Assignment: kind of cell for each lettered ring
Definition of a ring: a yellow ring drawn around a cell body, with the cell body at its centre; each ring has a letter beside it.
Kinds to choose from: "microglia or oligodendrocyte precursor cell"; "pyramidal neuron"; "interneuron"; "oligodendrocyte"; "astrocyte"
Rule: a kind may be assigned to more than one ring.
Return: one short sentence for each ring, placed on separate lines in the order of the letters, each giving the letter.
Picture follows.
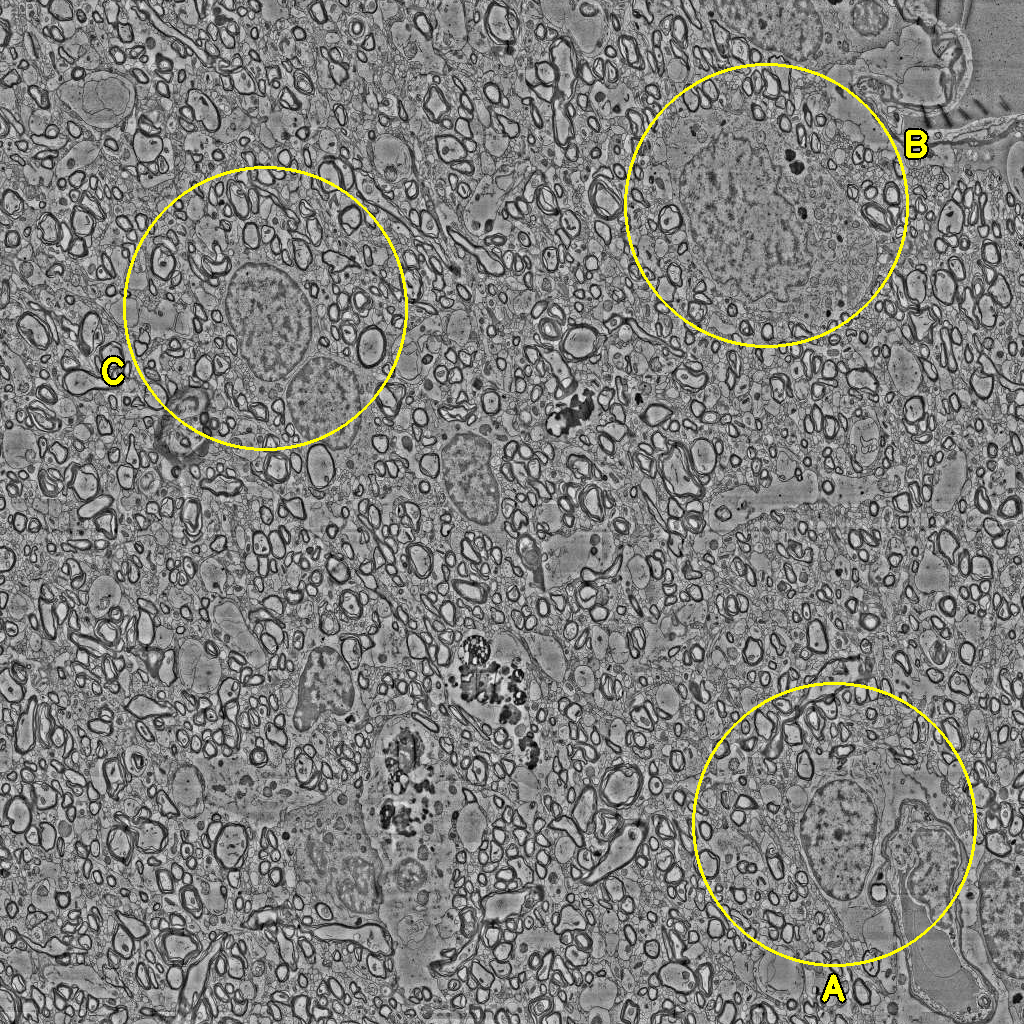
The ring marked A is centred on a microglial cell or oligodendrocyte precursor cell.
The ring marked B is centred on an interneuron.
The ring marked C is centred on an oligodendrocyte.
